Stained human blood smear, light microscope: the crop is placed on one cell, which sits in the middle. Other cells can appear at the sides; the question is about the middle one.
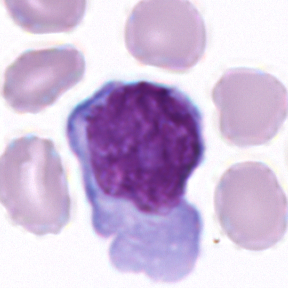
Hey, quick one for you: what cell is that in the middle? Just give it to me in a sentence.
The center cell of this crop is a plasma cell.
